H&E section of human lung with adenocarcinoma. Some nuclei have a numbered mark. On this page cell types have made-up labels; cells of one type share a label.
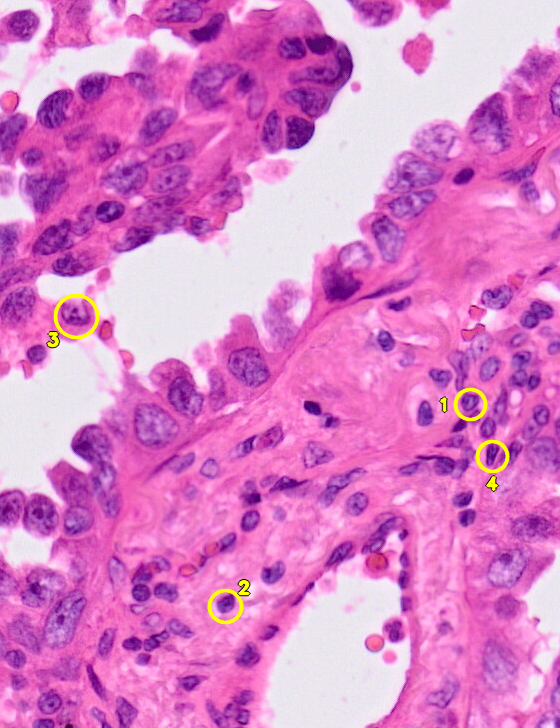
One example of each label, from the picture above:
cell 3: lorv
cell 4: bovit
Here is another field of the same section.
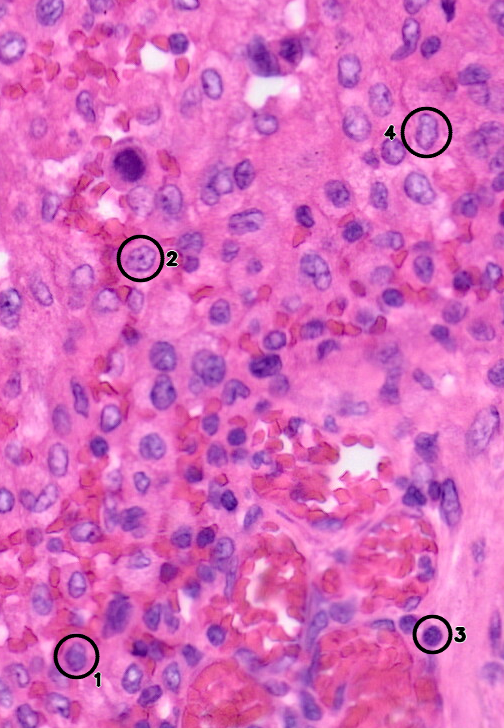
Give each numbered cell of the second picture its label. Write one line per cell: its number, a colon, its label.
1: lorv
2: lorv
3: bovit
4: lorv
